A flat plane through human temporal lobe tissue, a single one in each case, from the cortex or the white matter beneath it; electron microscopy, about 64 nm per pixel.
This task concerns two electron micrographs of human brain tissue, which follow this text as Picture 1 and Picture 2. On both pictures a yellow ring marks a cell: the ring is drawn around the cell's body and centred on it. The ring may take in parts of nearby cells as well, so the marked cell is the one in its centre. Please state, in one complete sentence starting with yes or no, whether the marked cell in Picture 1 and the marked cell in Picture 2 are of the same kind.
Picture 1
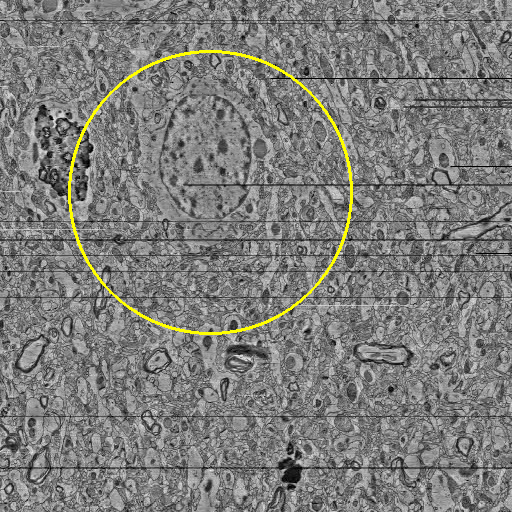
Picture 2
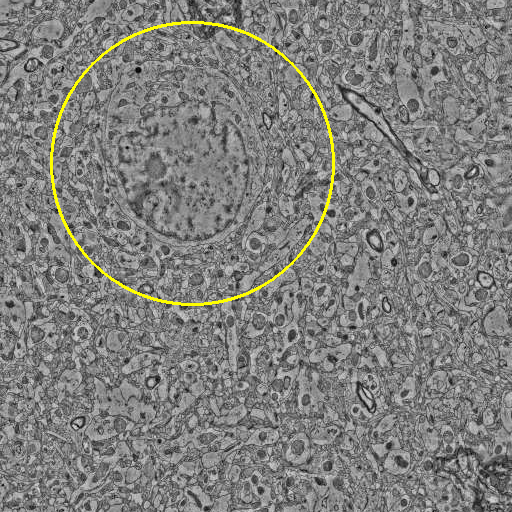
No, the marked cells in the two pictures are of two kinds.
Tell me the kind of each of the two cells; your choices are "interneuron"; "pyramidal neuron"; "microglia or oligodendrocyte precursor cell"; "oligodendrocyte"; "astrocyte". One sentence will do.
The ringed cell is an astrocyte in the first picture and an interneuron in the second picture.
